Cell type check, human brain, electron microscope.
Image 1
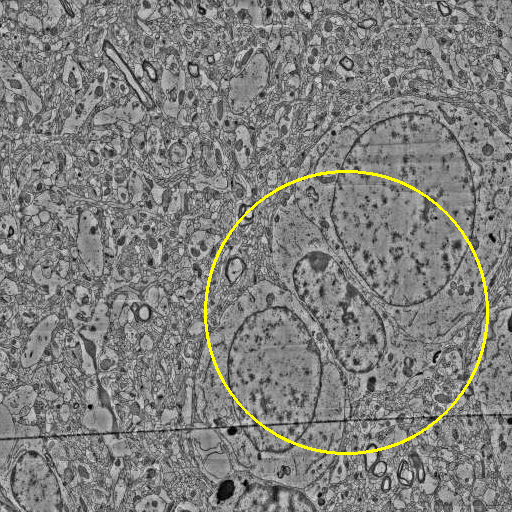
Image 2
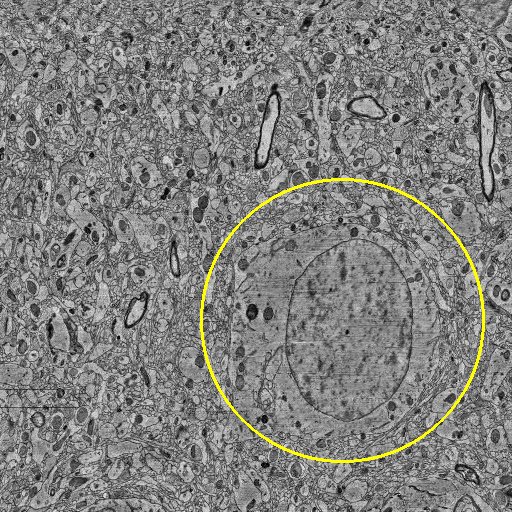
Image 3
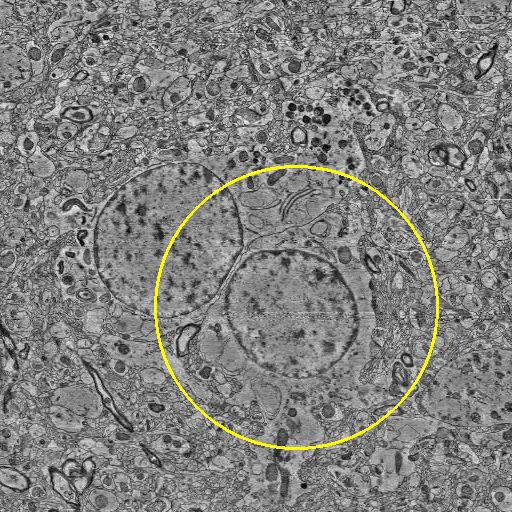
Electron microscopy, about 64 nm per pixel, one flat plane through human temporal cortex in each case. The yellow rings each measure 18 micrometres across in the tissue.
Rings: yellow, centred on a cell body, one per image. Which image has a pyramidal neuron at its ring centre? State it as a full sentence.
The ring in Image 2 is centred on it.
